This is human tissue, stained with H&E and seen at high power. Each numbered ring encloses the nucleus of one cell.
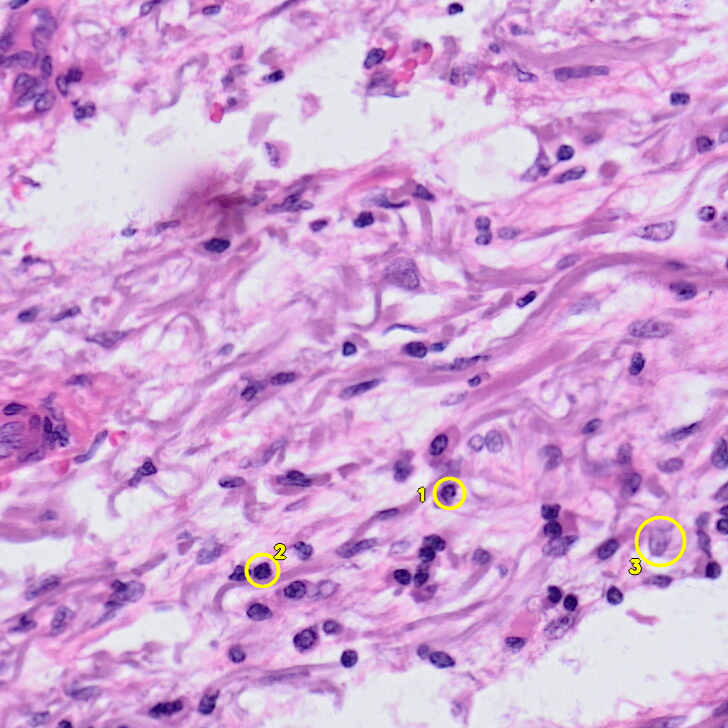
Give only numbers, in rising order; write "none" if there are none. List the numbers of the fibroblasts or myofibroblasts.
3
